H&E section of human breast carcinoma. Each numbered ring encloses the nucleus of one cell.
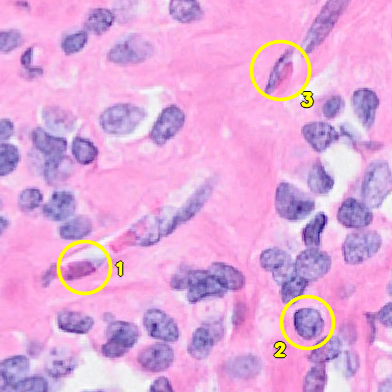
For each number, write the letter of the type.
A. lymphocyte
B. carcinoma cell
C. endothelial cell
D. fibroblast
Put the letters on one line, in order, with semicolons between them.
C; B; C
